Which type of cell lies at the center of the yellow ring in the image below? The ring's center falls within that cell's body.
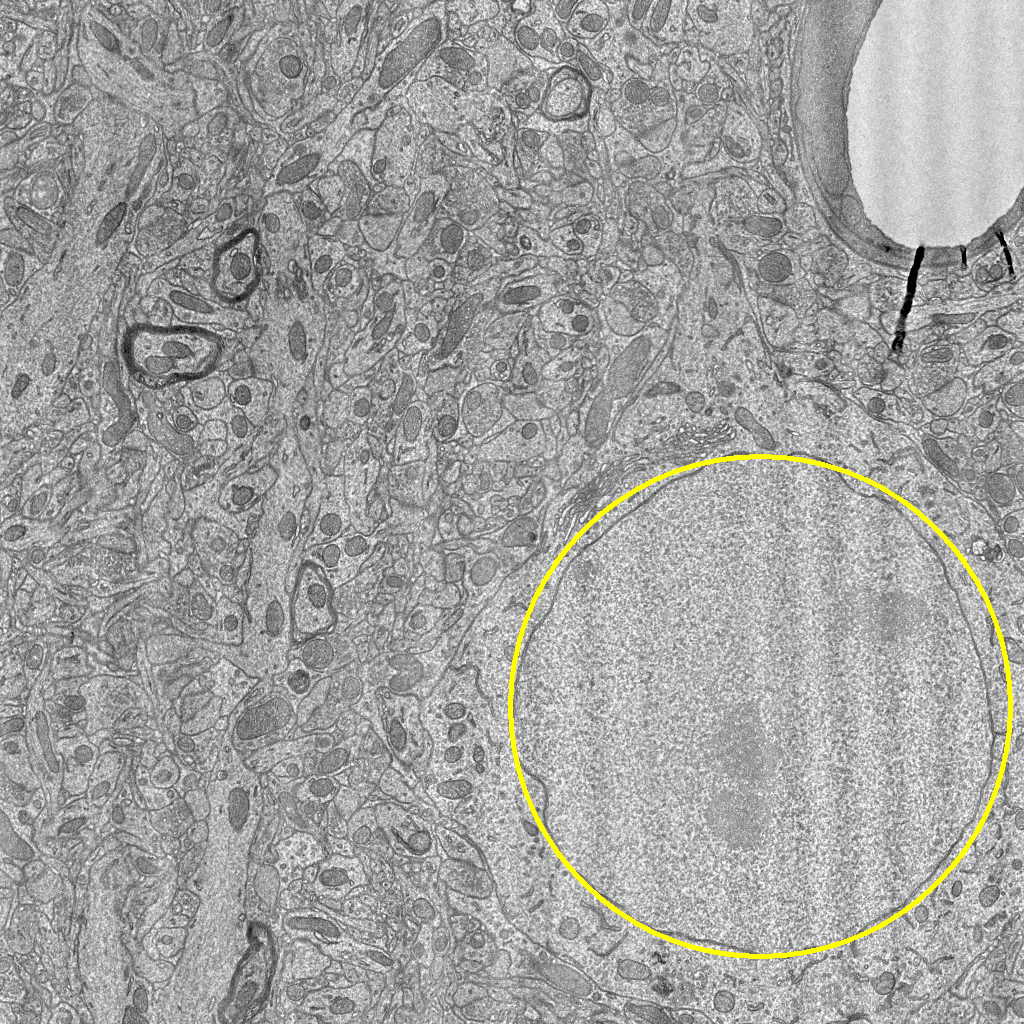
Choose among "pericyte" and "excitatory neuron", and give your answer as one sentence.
The cell body at the center belongs to an excitatory neuron.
